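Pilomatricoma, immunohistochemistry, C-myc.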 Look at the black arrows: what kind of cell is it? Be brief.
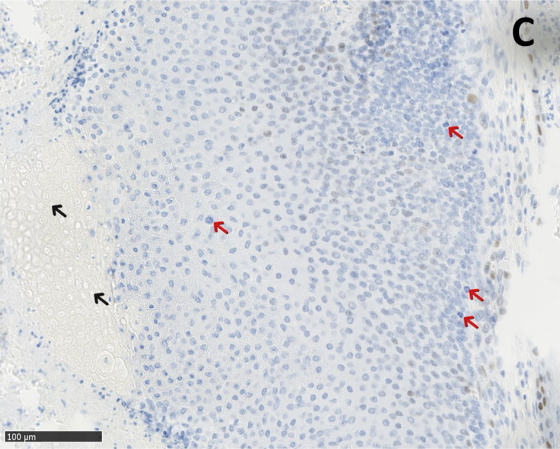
Shadow-cells.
